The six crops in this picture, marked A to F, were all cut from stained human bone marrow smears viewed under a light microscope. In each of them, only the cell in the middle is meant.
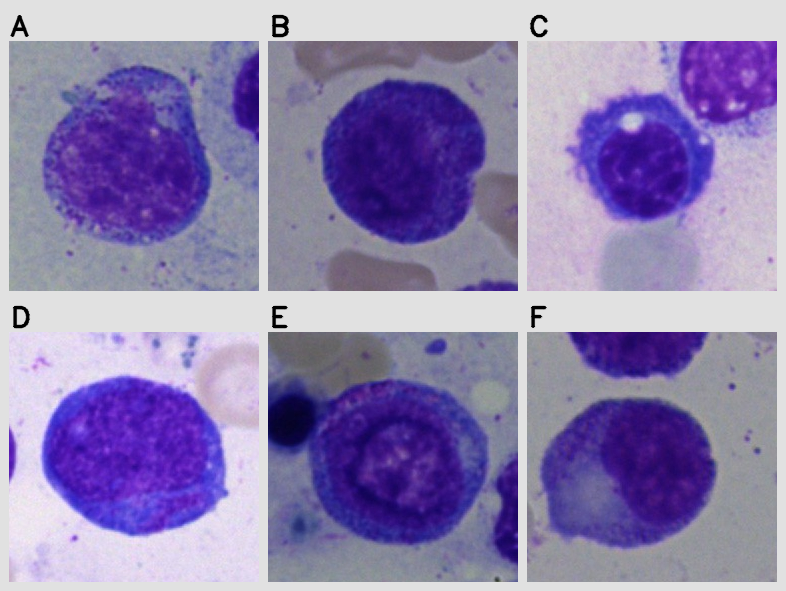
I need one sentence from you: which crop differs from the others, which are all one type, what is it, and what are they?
Crop C is different, showing a plasma cell, whereas all the others show promyelocytes.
